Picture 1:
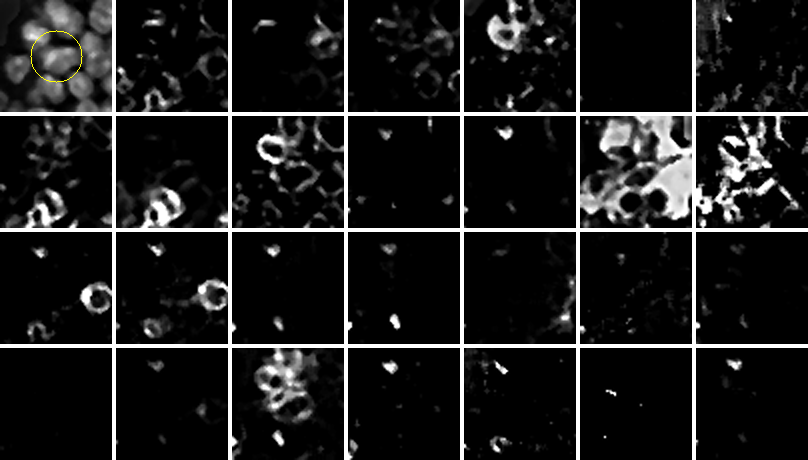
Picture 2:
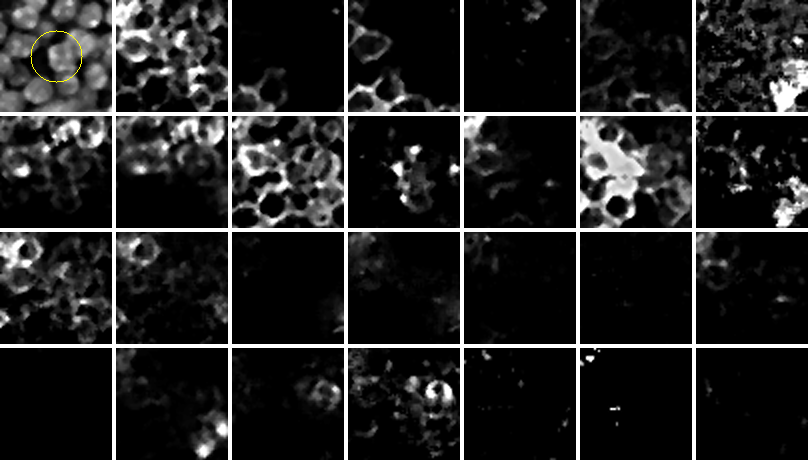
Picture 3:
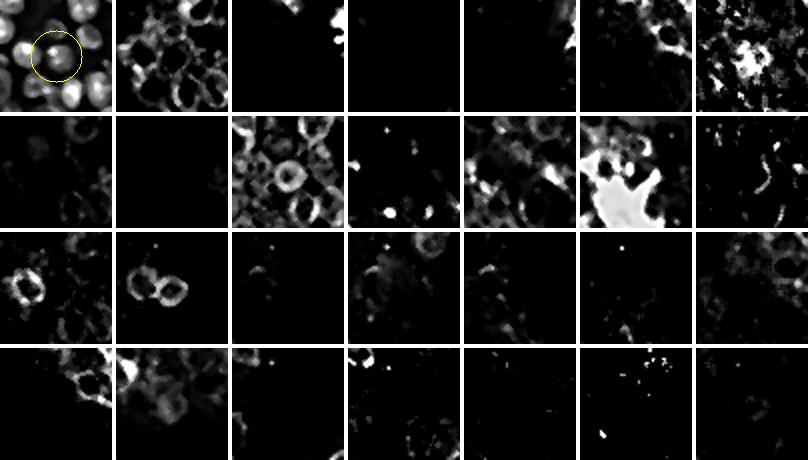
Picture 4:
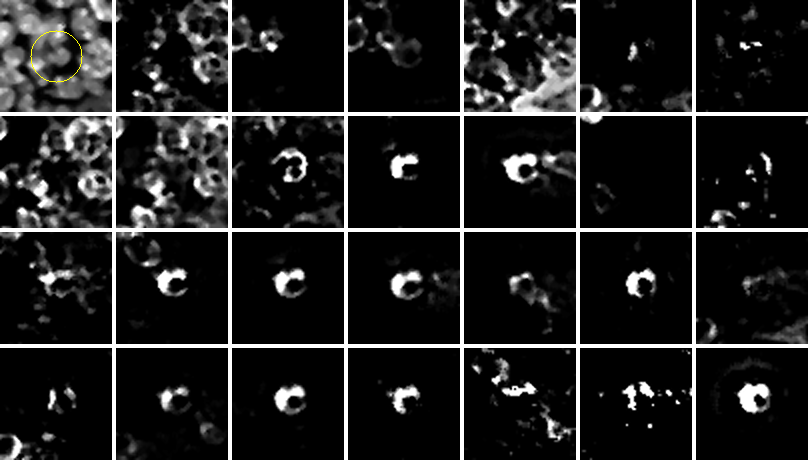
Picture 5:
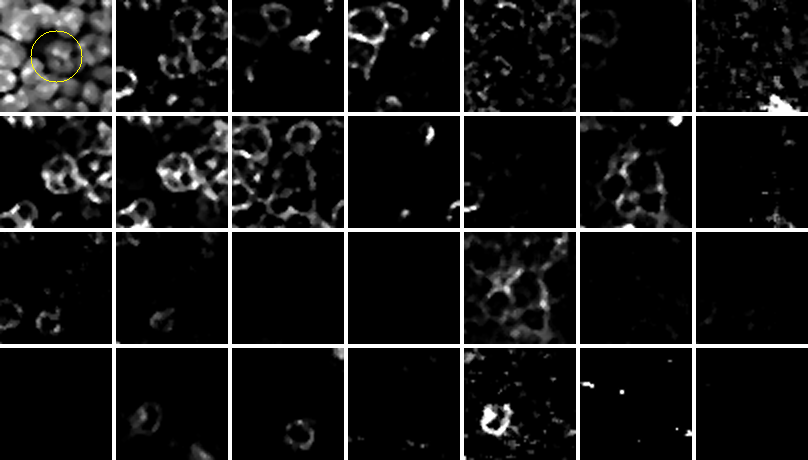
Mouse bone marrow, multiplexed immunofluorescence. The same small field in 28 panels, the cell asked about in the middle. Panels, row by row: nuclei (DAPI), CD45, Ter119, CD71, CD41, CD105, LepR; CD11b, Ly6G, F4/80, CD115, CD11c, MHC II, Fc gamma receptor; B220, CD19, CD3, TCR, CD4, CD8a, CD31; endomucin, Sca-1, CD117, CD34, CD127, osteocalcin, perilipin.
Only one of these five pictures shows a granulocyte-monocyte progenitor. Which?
Picture 1.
